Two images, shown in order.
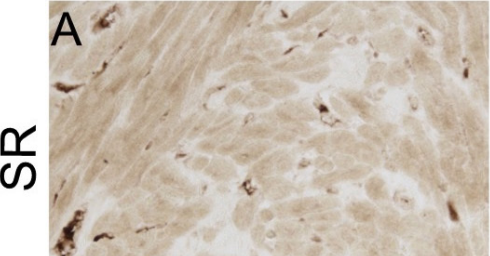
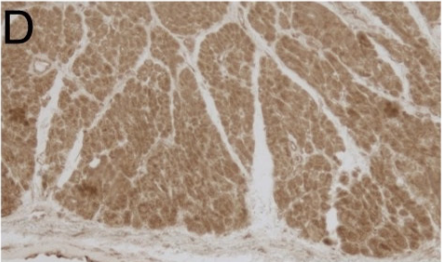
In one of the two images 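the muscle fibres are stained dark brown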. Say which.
The second image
